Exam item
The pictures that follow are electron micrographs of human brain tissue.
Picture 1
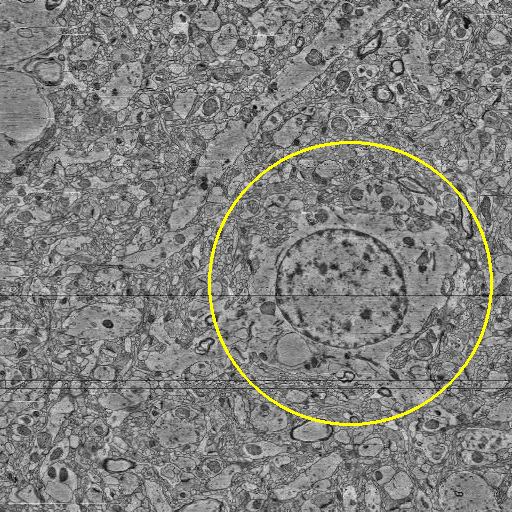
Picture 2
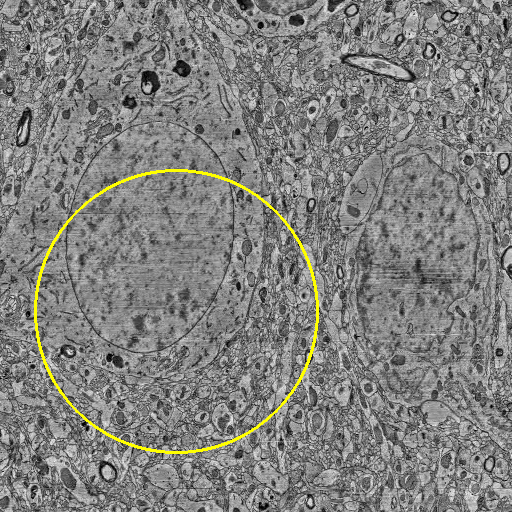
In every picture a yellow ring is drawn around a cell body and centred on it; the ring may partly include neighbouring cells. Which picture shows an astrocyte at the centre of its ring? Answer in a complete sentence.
The cell at the centre of the ring in Picture 1 is the one asked for.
